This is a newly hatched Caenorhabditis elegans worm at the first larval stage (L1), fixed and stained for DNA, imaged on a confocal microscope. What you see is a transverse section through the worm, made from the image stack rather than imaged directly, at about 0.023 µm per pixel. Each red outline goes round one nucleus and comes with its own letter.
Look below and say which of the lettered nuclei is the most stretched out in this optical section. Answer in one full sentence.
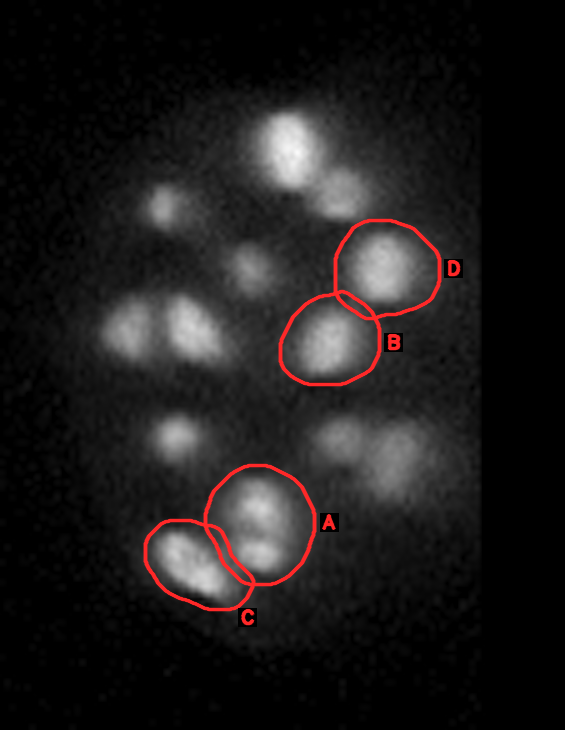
C is the most elongated.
